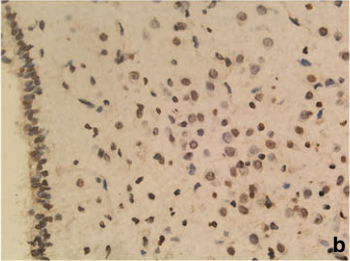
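This is a section through the paraventricular region of the brain, with many cells scattered through a pale background, most of them stained brown. A few cells are blue only, with small oval nuclei and no brown colour. Along the left edge a dense band of closely packed, dark, elongated cells runs from top to bottom, sharply set off from the looser tissue beside it.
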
